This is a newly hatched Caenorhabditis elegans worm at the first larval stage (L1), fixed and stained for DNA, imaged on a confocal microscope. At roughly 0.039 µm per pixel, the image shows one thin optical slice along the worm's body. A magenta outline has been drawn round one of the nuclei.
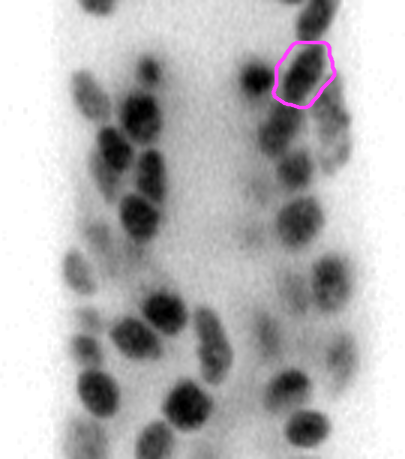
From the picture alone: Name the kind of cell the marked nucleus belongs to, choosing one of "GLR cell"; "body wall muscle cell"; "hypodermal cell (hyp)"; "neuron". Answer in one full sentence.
The marked cell is a neuron.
